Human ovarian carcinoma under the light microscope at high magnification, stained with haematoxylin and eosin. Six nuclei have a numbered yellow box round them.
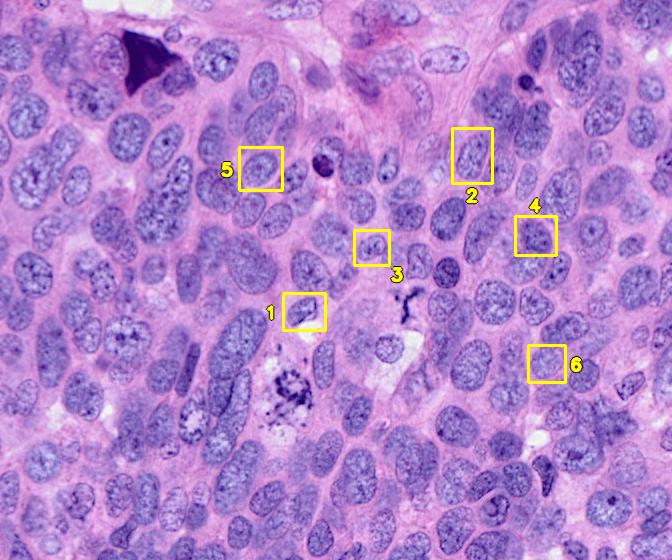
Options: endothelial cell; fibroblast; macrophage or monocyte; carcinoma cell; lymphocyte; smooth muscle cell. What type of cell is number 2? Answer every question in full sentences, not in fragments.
Cell 2 of the marked set is a carcinoma cell.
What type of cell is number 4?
Identified as a carcinoma cell is the cell bearing the number 4.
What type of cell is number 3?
Among the marked nuclei, number 3 belongs to a macrophage or monocyte.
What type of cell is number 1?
Belonging to a macrophage or monocyte is the nucleus that carries the number 1.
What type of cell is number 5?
The cell identified by the number 5 is a carcinoma cell.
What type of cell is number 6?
The cell indicated by marker 6 is a carcinoma cell in this section.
